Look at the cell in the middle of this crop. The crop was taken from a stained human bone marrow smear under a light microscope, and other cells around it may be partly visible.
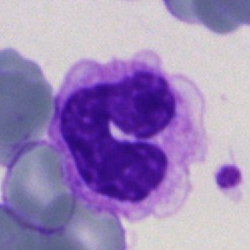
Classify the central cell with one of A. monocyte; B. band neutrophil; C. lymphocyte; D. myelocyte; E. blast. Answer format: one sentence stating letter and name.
The cell in the center of this crop is a band neutrophil, so option B is the one to pick.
